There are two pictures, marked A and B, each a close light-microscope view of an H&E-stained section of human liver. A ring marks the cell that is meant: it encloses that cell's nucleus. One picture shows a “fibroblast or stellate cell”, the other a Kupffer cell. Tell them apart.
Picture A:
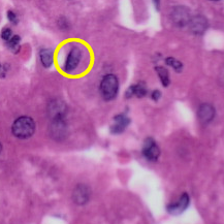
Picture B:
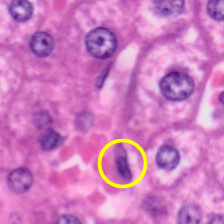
A: fibroblast or stellate cell
B: Kupffer cell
